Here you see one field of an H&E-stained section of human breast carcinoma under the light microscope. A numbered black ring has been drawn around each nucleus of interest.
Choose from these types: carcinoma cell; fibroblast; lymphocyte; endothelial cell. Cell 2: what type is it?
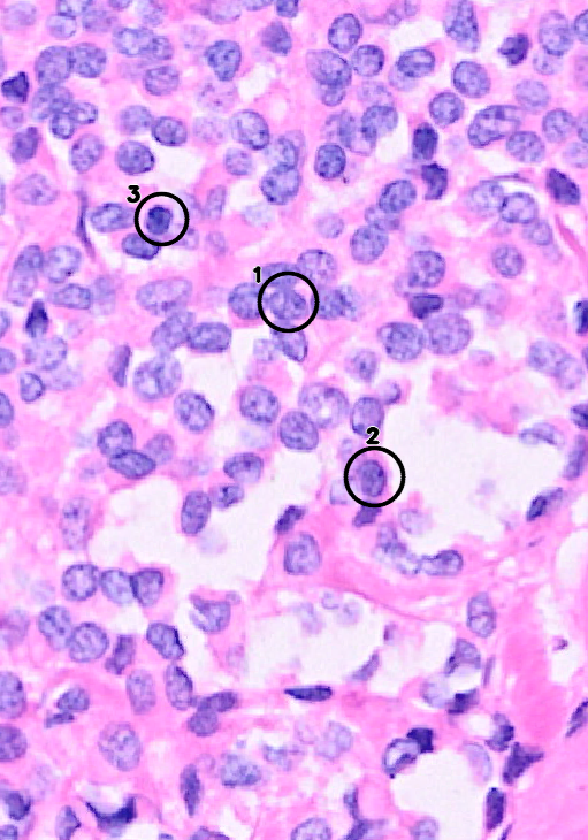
carcinoma cell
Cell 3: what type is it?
lymphocyte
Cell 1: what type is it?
carcinoma cell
